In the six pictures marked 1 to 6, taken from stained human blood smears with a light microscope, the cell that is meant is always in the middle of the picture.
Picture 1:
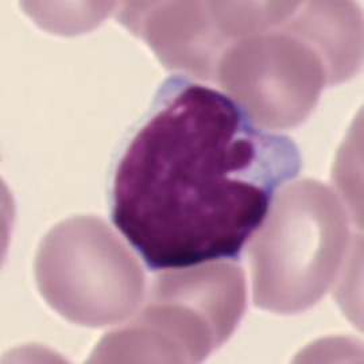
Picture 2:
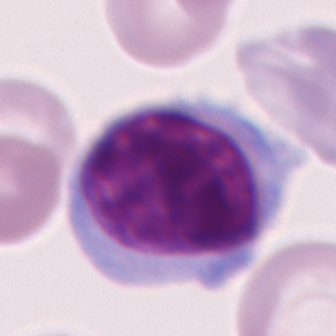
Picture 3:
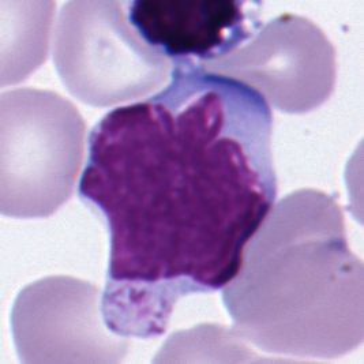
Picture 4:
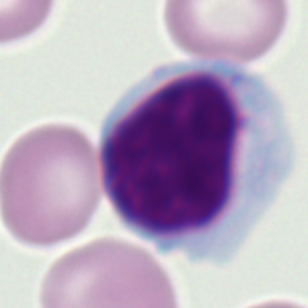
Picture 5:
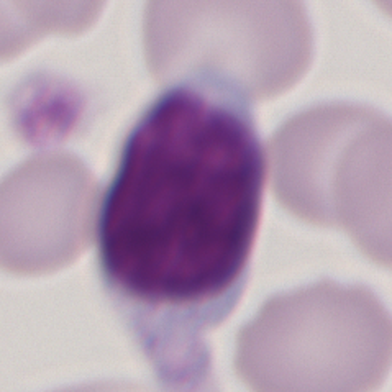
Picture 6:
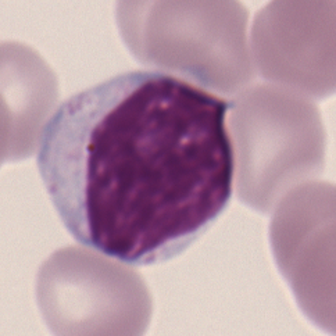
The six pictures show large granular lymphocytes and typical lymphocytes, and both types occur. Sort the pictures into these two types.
1: large granular lymphocyte
2: typical lymphocyte
3: large granular lymphocyte
4: typical lymphocyte
5: typical lymphocyte
6: large granular lymphocyte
